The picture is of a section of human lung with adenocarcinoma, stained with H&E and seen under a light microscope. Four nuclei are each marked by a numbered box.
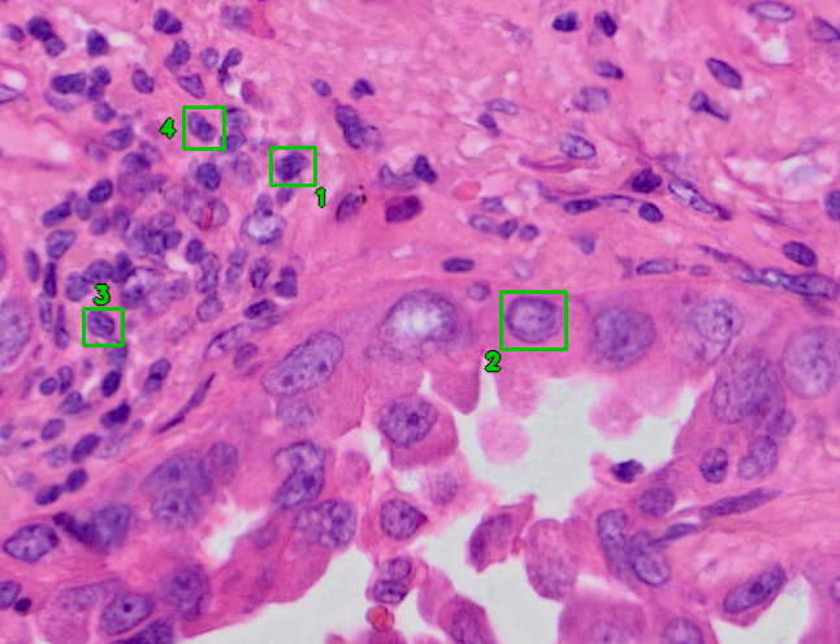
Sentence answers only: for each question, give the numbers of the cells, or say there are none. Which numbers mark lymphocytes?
The cells with the number labels 1, 3 and 4 are lymphocytes.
